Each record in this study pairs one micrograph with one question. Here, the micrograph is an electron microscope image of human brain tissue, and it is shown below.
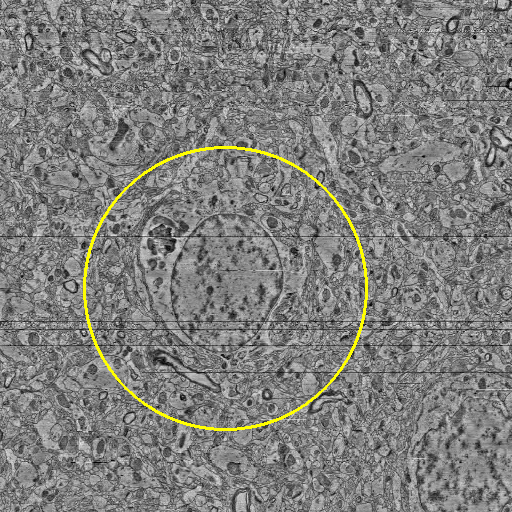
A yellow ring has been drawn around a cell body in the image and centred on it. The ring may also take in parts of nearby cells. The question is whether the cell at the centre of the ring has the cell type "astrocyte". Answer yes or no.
yes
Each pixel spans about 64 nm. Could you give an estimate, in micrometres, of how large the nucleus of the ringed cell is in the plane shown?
In this plane, the nucleus of the cell at the centre of the ring measures about 9 by 7 micrometres.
